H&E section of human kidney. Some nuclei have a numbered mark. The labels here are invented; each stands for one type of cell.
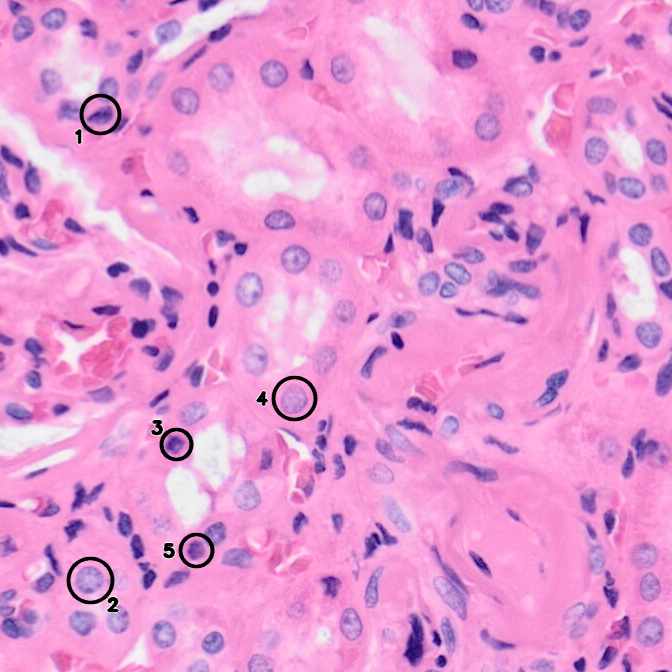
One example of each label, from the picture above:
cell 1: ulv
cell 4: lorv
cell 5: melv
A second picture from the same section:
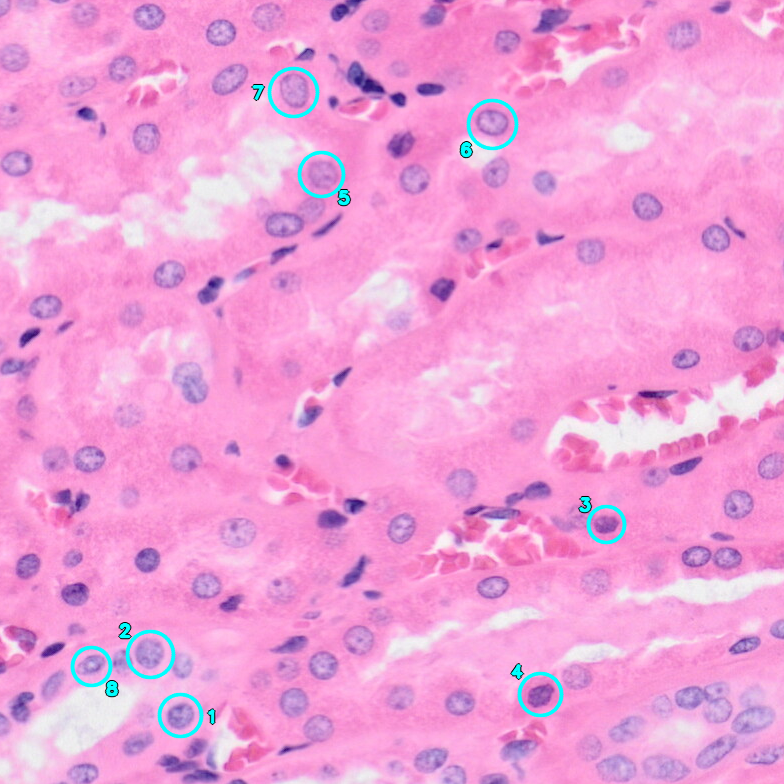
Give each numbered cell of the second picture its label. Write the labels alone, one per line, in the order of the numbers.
ulv
ulv
lorv
lorv
lorv
lorv
lorv
ulv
